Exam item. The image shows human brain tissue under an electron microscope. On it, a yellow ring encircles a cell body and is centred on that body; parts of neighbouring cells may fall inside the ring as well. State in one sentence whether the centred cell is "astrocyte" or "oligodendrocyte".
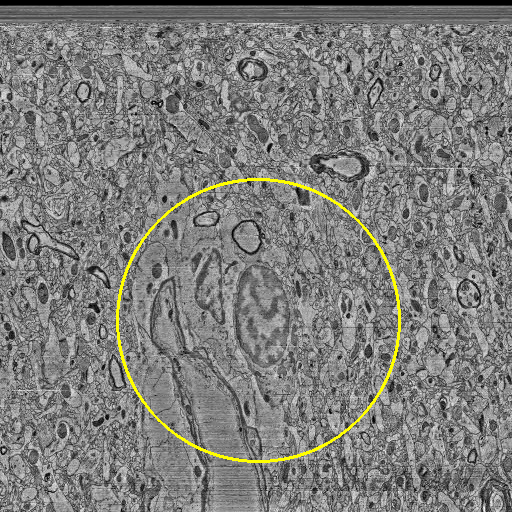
The cell body centred in the ring is an oligodendrocyte.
